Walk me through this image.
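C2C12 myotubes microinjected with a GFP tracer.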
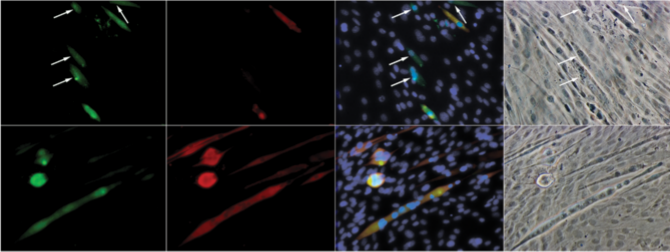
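In the phase views, elongated spindle-shaped cells lie packed side by side and roughly aligned. In the lower row, the green cells are also red and appear yellow-orange in the merge, some of them long and drawn out. In the upper row, white arrows point to slender green cells that show little red; in the merge they look green to cyan over their nuclei. A few other green cells in that row do carry red.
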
